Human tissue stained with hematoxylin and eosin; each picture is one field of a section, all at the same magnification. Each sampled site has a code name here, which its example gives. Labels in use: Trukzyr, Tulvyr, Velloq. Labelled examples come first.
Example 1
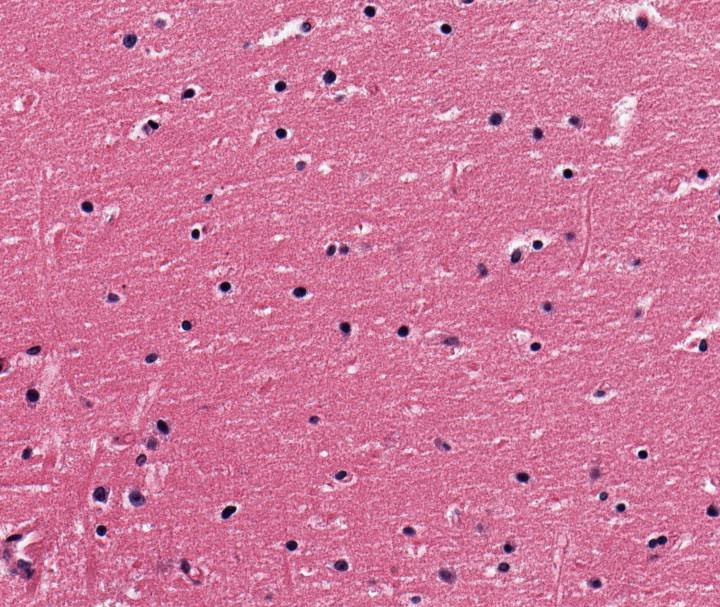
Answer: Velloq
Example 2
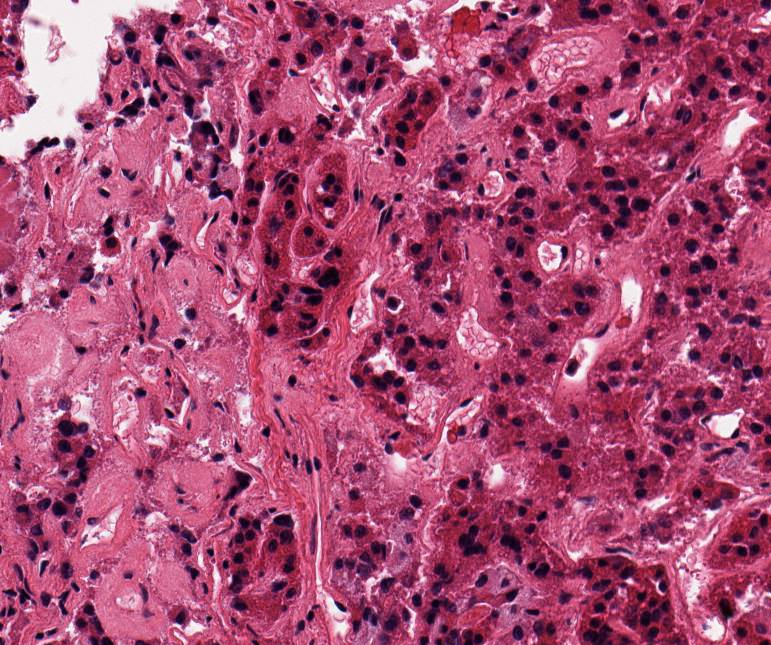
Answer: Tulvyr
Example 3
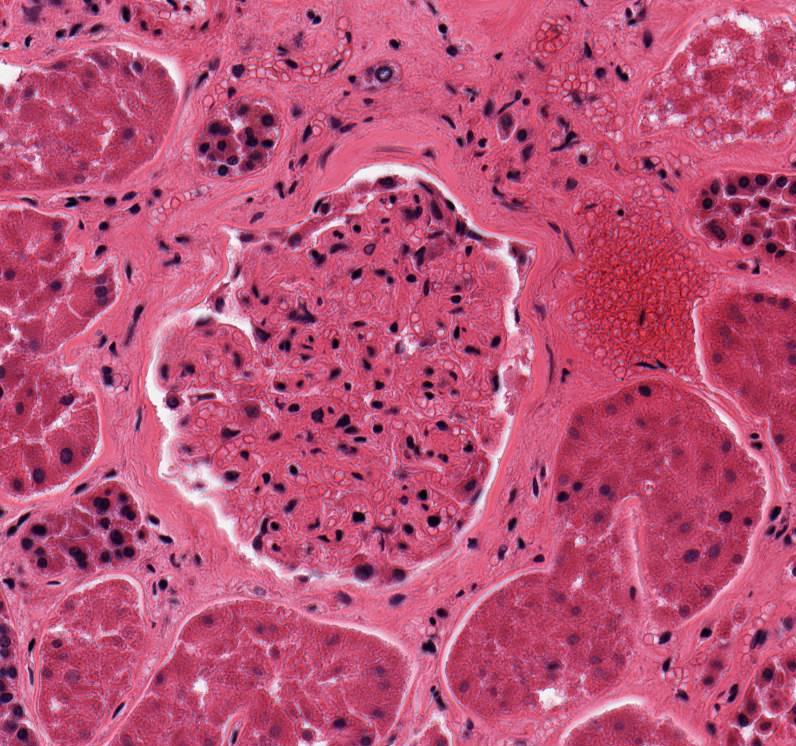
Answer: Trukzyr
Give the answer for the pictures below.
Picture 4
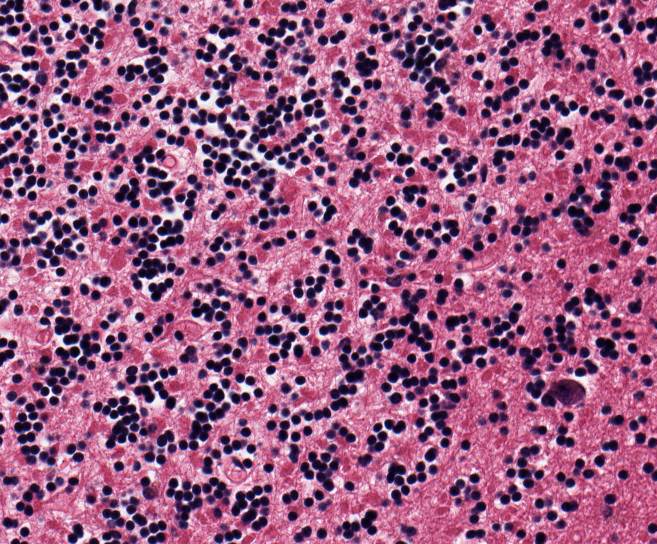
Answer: Velloq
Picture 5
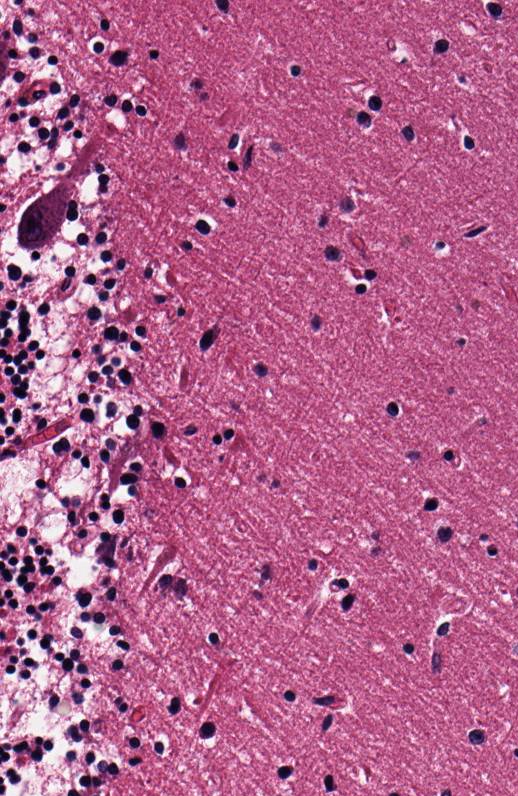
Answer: Velloq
